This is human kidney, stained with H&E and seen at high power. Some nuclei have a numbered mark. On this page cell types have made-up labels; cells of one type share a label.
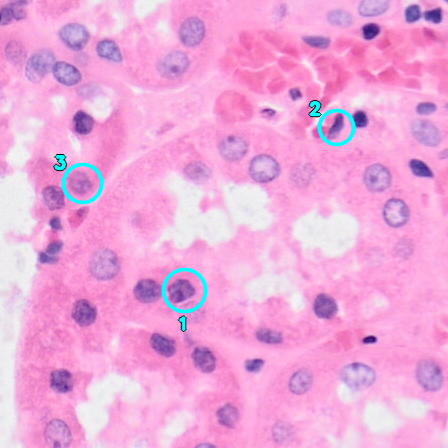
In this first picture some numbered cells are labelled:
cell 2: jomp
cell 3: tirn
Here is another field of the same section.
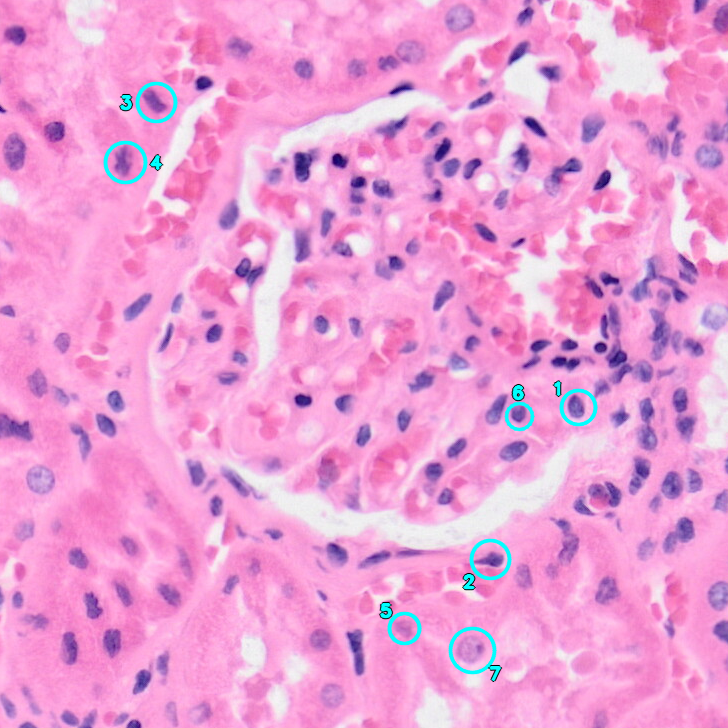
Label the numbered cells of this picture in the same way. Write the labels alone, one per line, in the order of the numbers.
jomp
jomp
tirn
tirn
tirn
jomp
tirn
